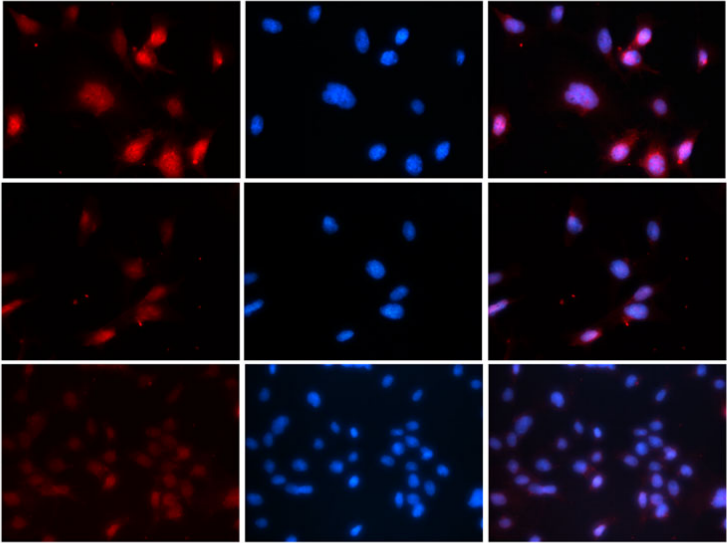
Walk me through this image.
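The nuclei are oval to round, evenly stained blue and scattered singly across the field, with one row showing a much denser field of many small nuclei. The red signal outlines irregular, flattened cell bodies, some with tapering extensions. The red signal is strongest over the nuclei, so that in the merged images the nuclei appear pink to magenta against fainter red cytoplasm. The intensity of the red signal varies between rows, being brightest in the top row and dimmer in the lower rows.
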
